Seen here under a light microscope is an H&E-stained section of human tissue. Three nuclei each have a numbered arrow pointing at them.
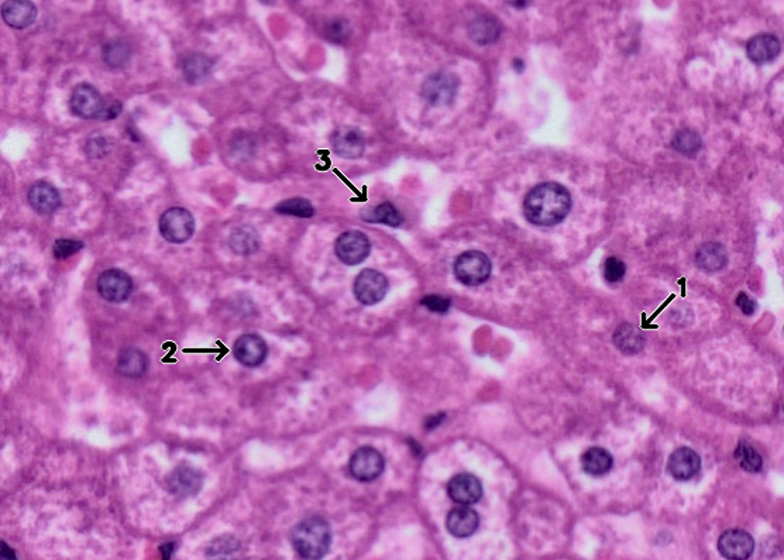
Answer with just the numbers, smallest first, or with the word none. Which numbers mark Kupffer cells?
3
